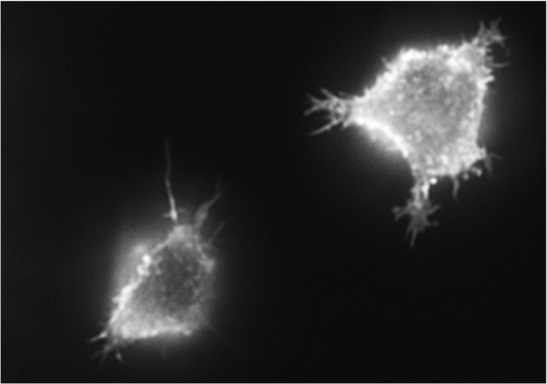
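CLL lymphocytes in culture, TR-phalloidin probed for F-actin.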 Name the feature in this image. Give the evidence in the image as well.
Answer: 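Extended projections. Thin spiky protrusions radiate from the margins of both cells. The protrusions are bright like the cell rim.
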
